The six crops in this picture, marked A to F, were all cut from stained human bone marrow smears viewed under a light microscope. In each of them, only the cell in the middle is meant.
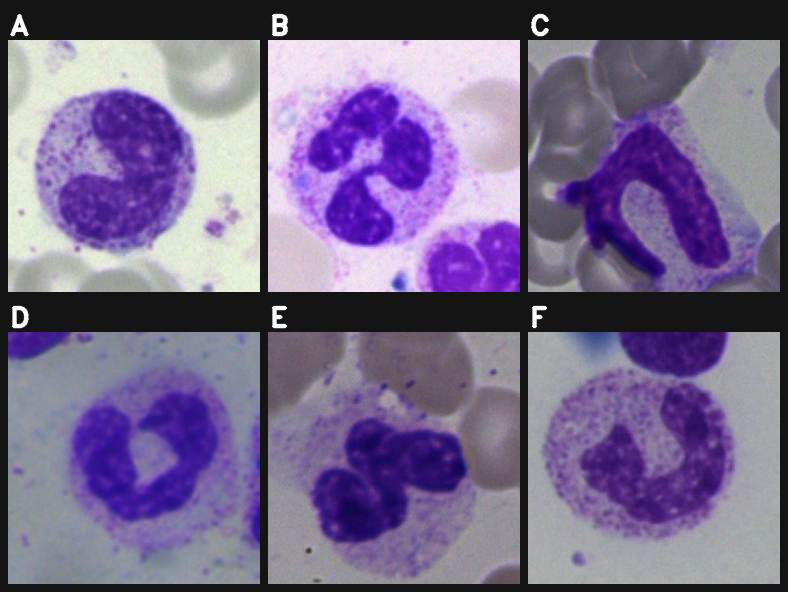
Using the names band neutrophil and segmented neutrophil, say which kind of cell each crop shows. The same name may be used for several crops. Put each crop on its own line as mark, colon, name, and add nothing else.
A: band neutrophil
B: segmented neutrophil
C: band neutrophil
D: segmented neutrophil
E: segmented neutrophil
F: segmented neutrophil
